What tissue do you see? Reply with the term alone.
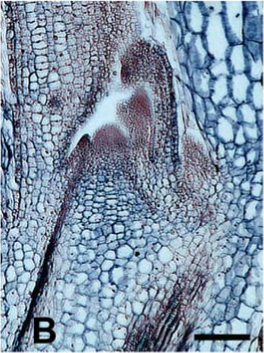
Vegetative meristem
